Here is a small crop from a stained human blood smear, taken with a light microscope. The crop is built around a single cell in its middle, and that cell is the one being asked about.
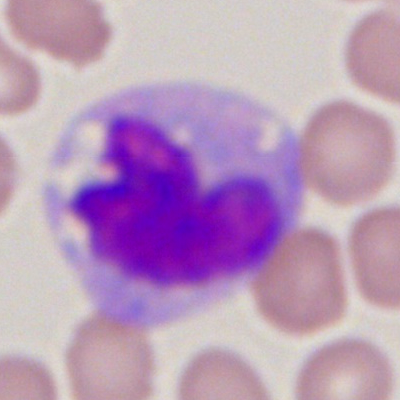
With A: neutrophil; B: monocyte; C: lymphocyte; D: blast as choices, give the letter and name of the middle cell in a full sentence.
Since the cell in the middle is a monocyte, option B is correct.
